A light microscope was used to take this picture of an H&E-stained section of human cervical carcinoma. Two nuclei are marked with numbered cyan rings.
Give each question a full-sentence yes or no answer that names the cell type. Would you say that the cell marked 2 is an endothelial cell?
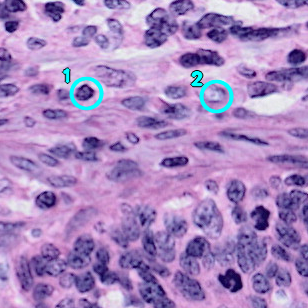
Yes, the cell that has number 2 is an endothelial cell.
